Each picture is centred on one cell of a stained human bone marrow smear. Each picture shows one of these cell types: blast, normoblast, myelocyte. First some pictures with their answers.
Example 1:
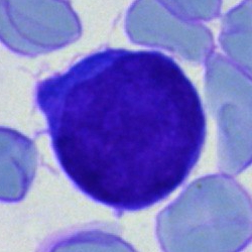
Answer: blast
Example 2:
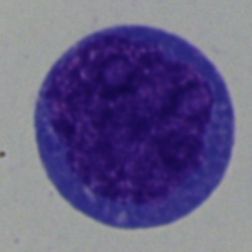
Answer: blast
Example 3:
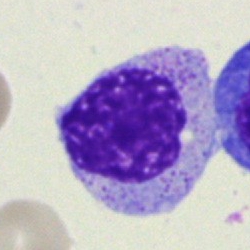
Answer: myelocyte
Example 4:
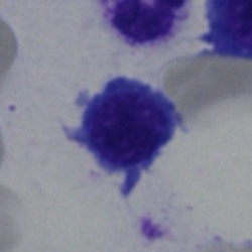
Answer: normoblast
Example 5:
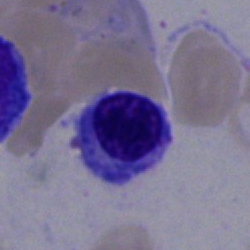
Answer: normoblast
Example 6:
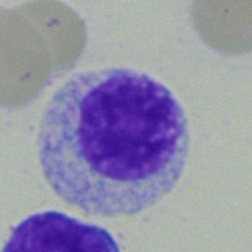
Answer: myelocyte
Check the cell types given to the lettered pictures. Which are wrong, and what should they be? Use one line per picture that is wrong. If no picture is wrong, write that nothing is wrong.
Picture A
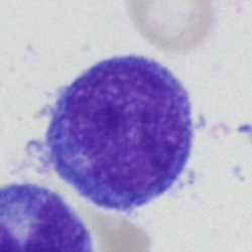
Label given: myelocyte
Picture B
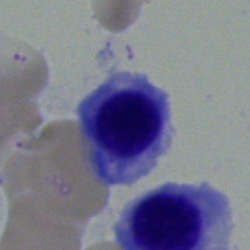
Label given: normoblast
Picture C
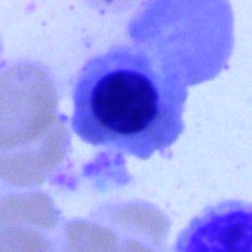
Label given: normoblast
A: blast, not myelocyte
